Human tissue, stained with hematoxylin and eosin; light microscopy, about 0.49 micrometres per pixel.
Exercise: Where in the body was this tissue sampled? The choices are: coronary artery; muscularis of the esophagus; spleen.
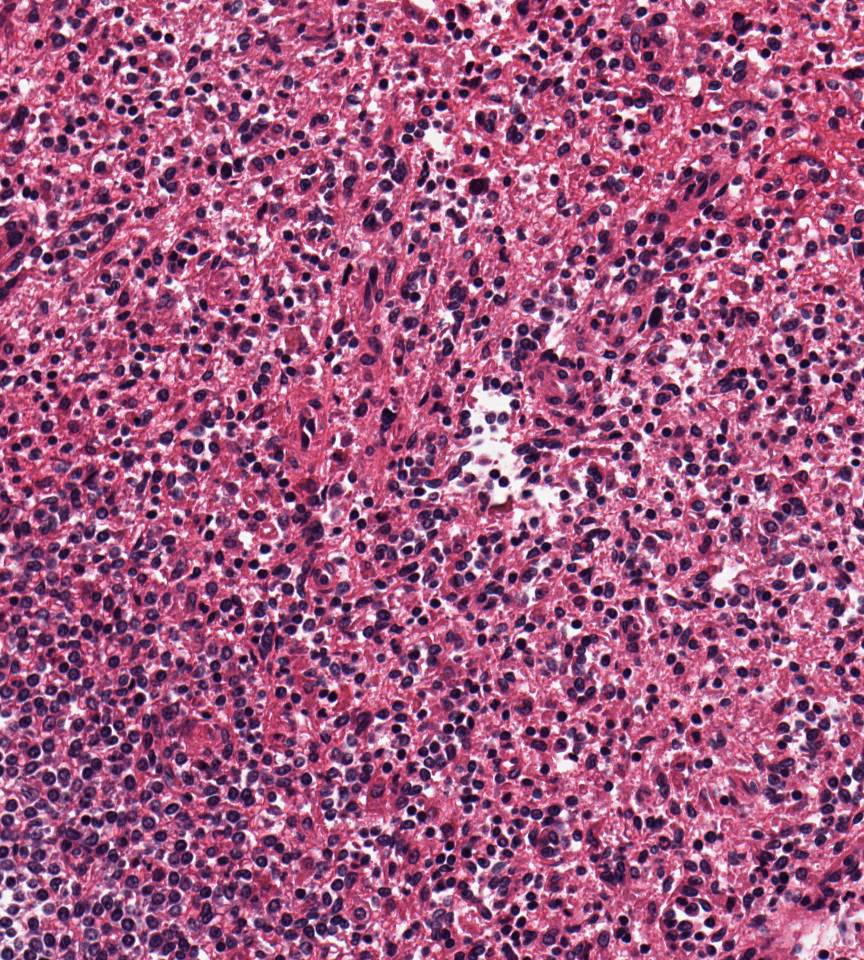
spleen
